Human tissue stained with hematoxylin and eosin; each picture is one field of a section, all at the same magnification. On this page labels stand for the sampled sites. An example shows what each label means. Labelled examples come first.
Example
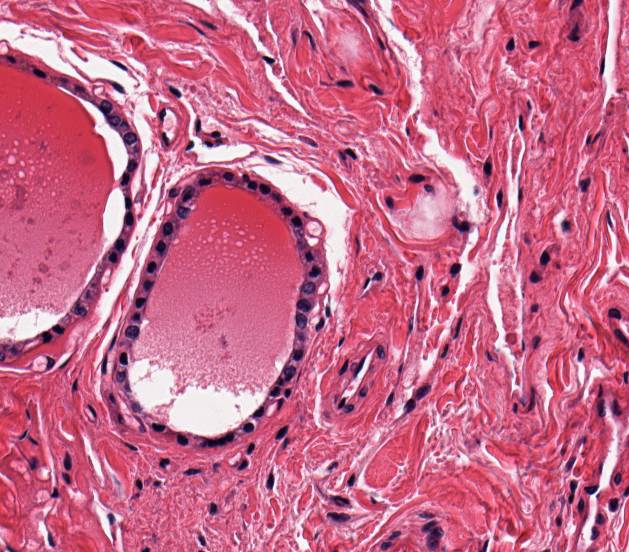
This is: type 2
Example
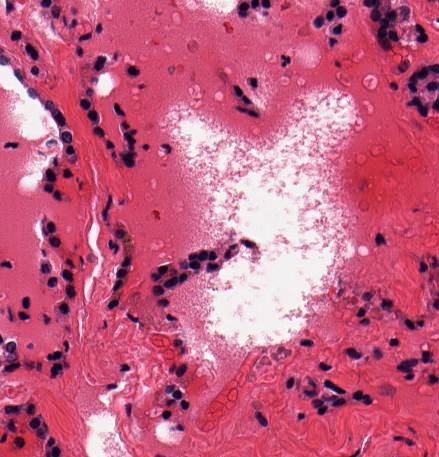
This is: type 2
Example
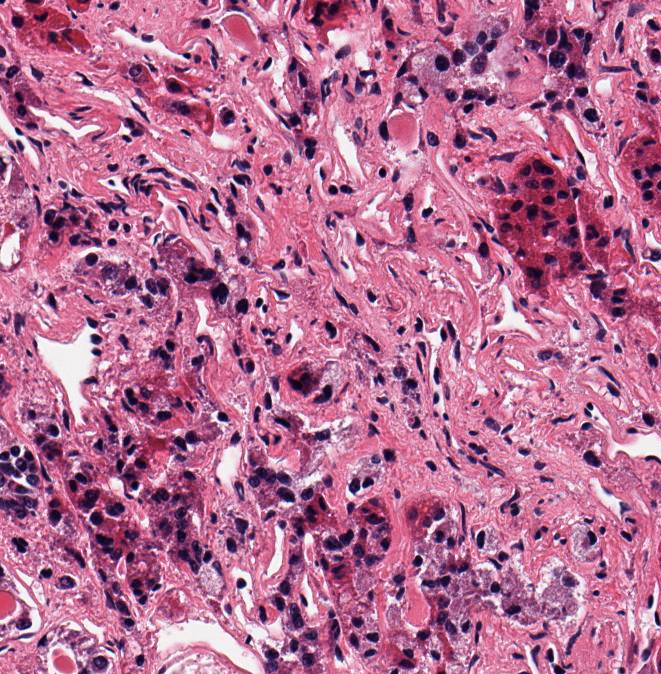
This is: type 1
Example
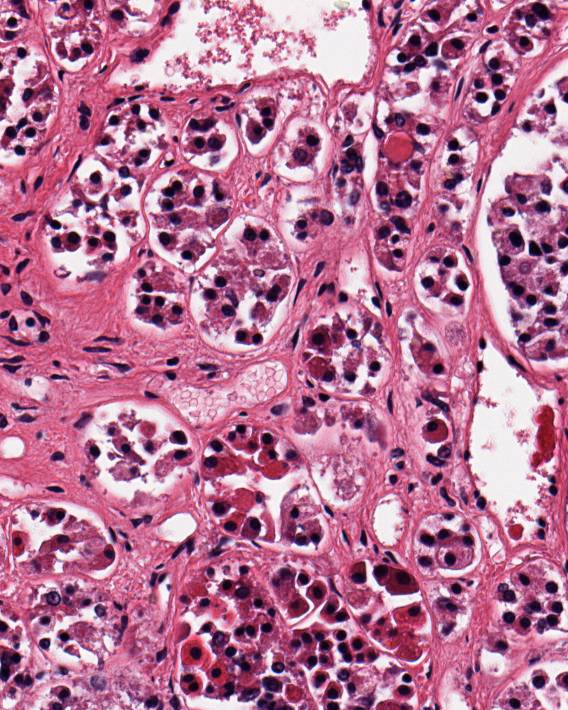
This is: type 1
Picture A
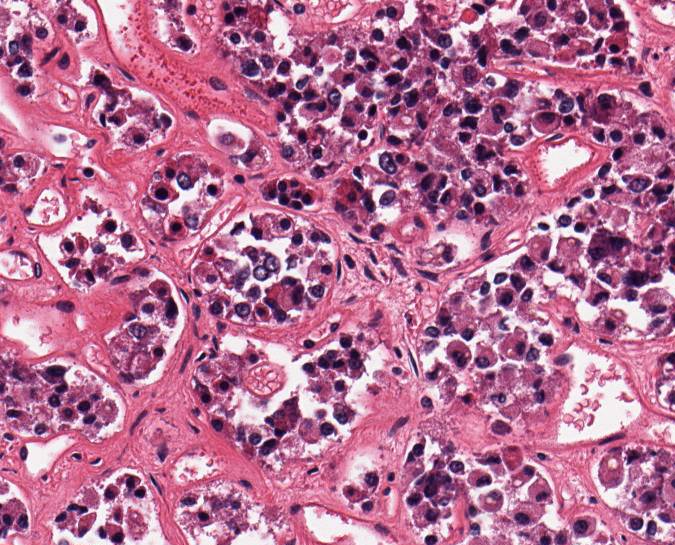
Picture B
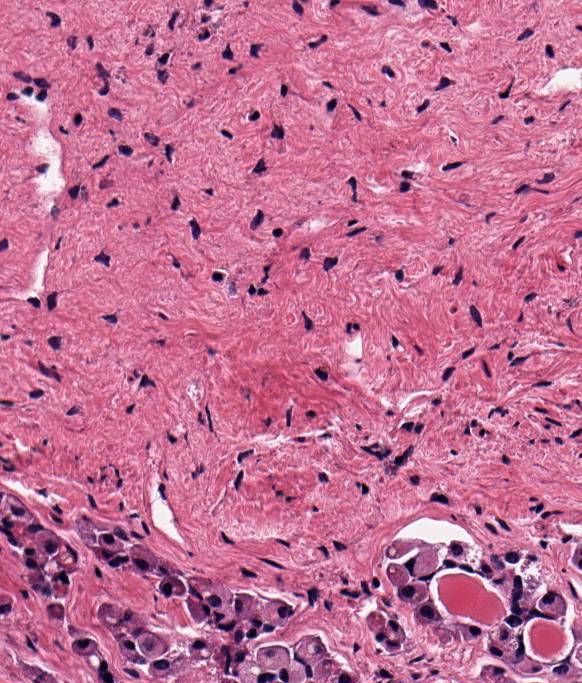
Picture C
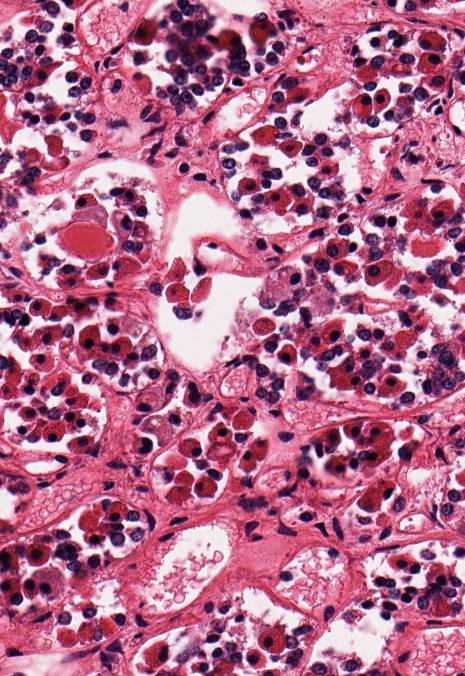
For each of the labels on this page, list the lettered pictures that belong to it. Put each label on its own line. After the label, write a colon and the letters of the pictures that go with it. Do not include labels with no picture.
type 1: A, B, C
